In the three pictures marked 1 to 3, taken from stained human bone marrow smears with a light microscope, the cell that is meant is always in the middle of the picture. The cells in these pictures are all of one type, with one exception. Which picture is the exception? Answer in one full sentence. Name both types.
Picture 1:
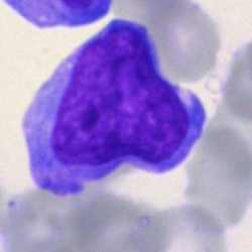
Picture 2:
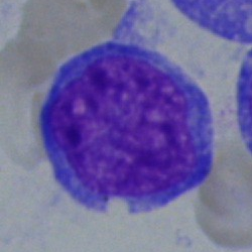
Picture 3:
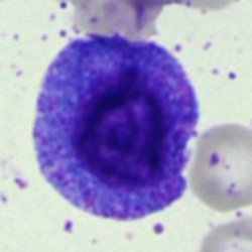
The different one is picture 3; it shows a promyelocyte, whereas all the others show blasts.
